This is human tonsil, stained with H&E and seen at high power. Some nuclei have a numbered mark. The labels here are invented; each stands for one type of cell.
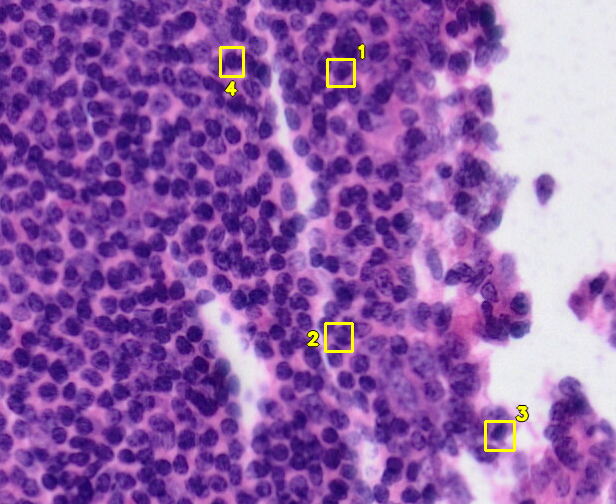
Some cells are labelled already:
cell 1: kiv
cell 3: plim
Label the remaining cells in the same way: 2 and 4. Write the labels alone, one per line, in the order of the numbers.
kiv
kiv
